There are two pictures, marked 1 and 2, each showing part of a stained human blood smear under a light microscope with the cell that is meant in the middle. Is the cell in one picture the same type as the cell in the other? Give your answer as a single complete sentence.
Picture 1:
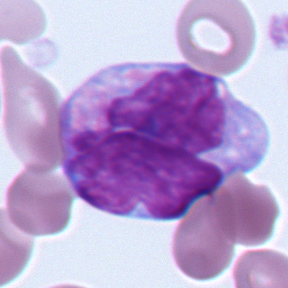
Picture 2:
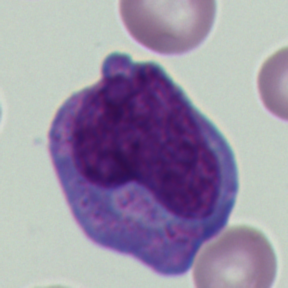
Yes, they are the same type: both are atypical promyelocytes.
